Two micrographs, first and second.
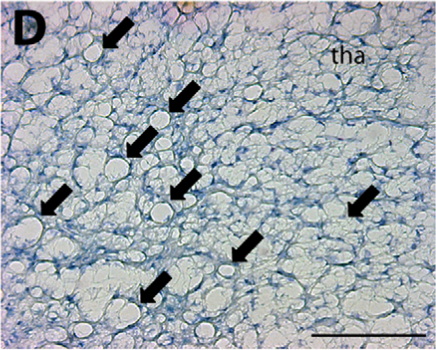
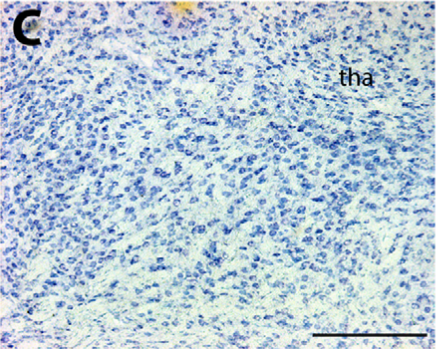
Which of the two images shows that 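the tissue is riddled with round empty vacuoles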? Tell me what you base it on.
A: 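First image: many clear round holes of varying size fill the tissue between thin blue strands. Second image: compact tissue of evenly scattered blue nuclei without holes.
Conclusion: the first image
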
